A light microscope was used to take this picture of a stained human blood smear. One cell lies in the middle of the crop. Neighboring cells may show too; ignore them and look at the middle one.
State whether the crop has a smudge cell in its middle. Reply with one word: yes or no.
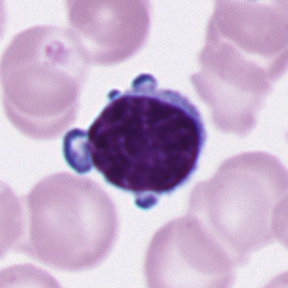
no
